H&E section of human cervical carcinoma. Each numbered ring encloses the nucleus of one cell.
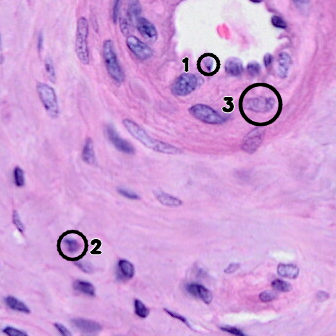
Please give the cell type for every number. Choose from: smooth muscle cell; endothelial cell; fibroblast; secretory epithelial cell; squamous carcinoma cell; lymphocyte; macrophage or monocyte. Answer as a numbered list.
1. endothelial cell
2. fibroblast
3. smooth muscle cell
